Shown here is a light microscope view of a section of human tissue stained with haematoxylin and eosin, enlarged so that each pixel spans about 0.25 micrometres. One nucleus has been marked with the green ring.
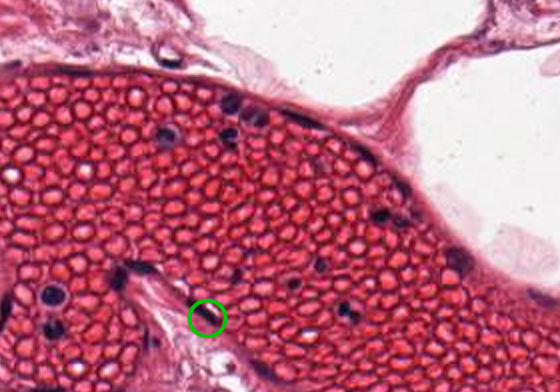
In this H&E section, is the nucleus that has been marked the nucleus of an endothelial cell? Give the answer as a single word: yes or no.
yes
